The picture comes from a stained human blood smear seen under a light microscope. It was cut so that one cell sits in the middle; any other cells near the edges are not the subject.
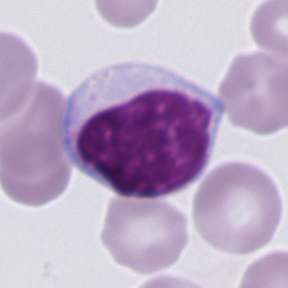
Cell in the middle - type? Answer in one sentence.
Framed in the middle of the crop is a large granular lymphocyte.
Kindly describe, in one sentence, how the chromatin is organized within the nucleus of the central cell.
One feature to record is coarsely clumped chromatin.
